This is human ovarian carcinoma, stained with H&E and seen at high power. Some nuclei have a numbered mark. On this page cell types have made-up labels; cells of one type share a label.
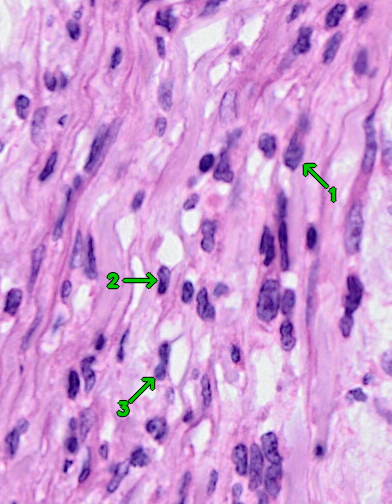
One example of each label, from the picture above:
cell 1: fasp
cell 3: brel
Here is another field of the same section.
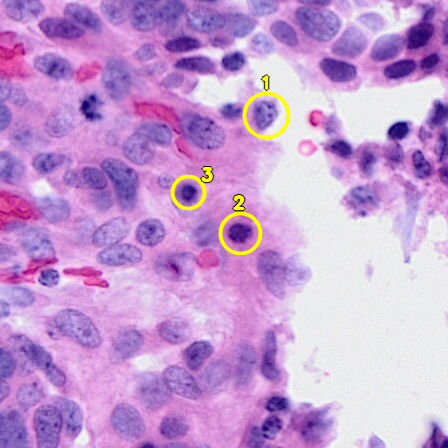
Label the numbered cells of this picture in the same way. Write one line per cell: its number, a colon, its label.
1: fasp
2: brel
3: brel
